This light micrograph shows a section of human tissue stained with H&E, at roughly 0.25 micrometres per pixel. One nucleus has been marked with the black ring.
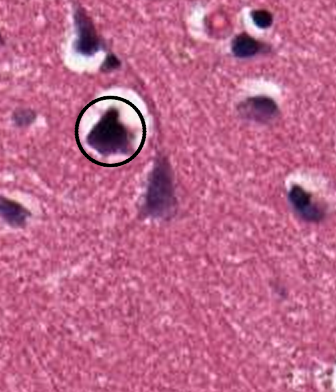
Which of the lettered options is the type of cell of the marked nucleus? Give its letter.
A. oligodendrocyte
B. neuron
B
